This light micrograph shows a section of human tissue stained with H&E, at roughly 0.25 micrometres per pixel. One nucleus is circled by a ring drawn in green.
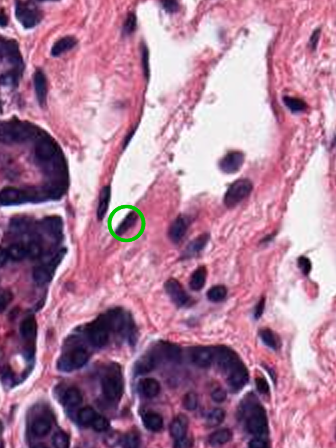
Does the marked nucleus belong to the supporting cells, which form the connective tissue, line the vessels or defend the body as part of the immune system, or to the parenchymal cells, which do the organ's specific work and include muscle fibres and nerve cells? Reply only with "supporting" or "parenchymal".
supporting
